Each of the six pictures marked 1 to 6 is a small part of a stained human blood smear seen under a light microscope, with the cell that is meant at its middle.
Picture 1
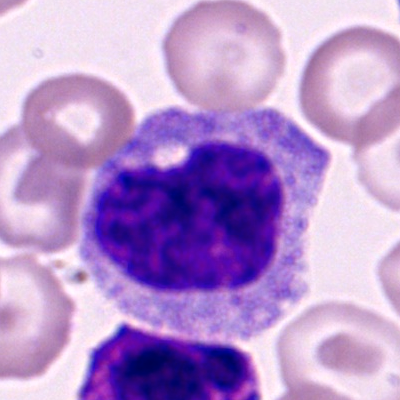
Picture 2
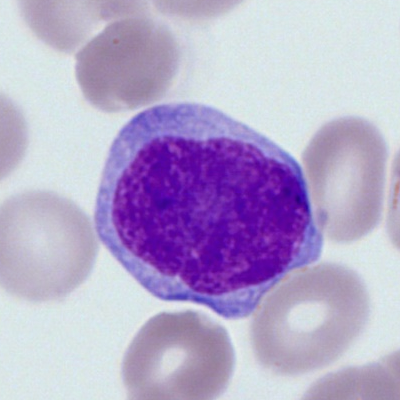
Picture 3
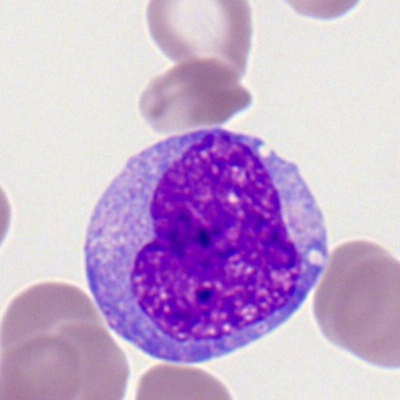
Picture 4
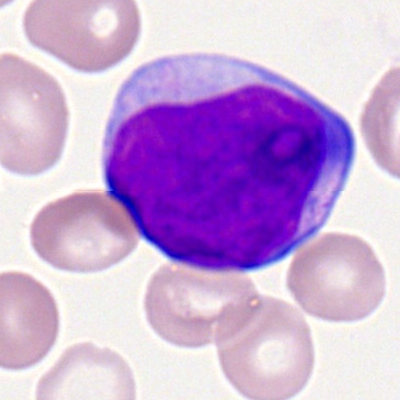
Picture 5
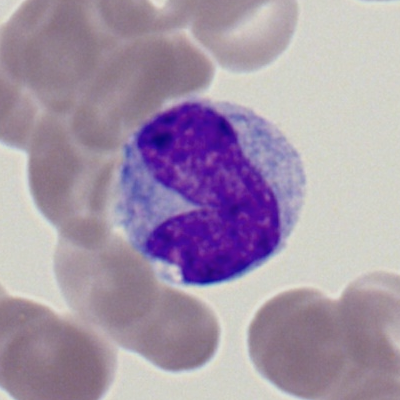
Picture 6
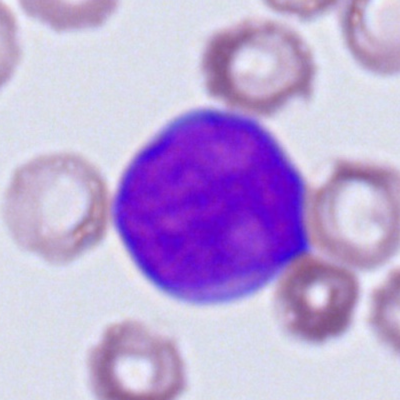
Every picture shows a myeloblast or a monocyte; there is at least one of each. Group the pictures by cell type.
1: monocyte
2: myeloblast
3: monocyte
4: myeloblast
5: monocyte
6: myeloblast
